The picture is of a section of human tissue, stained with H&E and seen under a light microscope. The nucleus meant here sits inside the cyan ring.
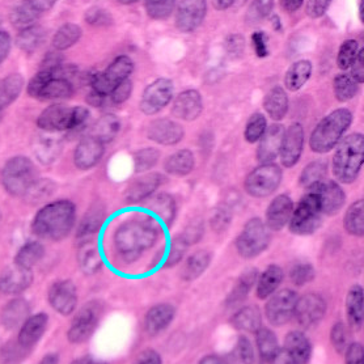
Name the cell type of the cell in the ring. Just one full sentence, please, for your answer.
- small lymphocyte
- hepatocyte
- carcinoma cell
For cell typing purposes, the cell in the ring is a carcinoma cell.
